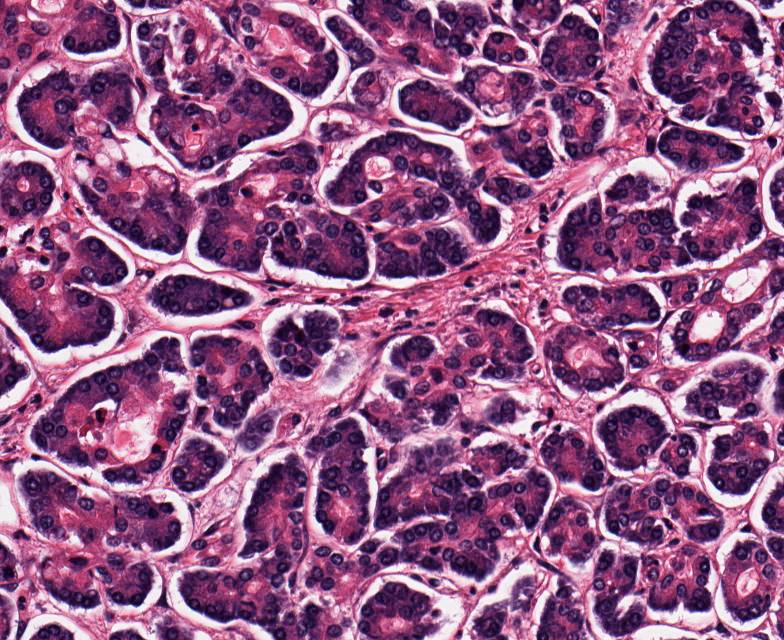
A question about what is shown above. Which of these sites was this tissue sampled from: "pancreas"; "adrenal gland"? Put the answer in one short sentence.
The site this tissue was sampled from is the pancreas.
